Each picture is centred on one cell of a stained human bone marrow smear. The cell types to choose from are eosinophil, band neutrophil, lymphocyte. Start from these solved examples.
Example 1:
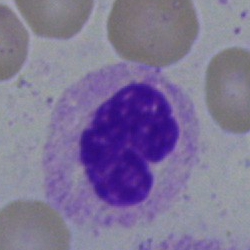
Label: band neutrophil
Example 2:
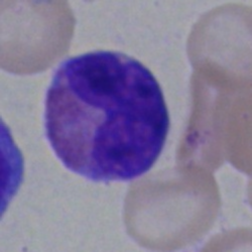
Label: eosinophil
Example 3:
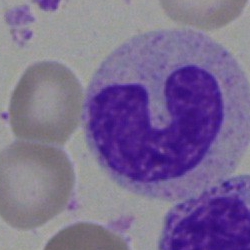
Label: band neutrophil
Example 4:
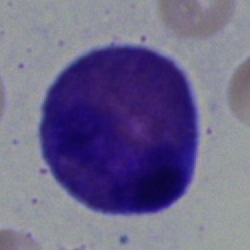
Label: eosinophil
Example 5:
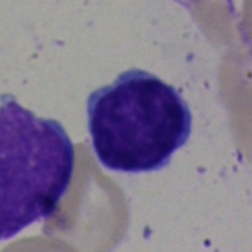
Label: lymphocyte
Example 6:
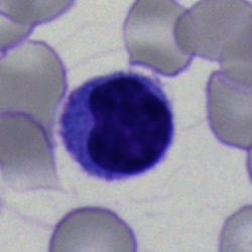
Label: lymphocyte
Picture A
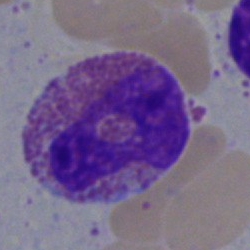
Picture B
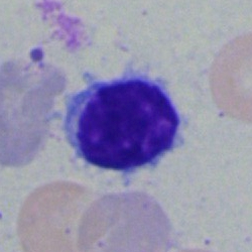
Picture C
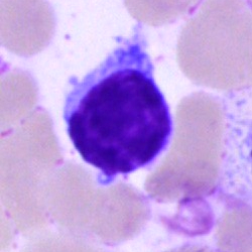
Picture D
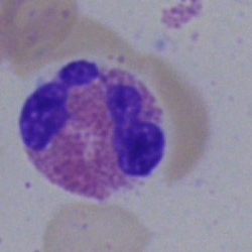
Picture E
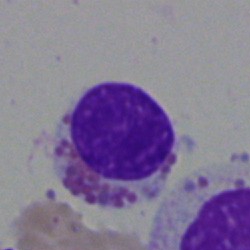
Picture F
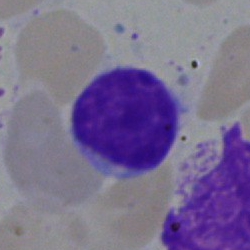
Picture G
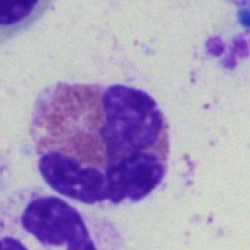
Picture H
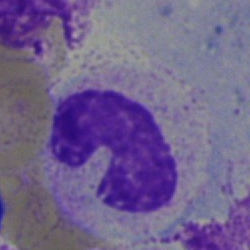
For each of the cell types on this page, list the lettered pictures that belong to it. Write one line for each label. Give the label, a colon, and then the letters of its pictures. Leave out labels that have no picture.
eosinophil: A, D, E, G
band neutrophil: H
lymphocyte: B, C, F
